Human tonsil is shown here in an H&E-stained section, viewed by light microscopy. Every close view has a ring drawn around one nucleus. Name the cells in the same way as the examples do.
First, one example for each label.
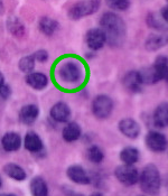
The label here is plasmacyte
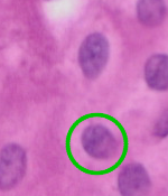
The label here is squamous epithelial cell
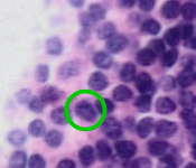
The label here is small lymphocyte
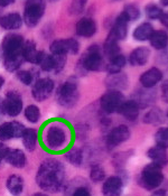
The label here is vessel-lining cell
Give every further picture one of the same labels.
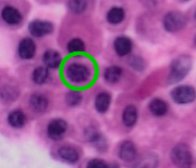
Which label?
plasmacyte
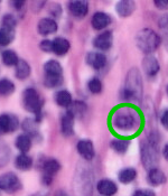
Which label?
vessel-lining cell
